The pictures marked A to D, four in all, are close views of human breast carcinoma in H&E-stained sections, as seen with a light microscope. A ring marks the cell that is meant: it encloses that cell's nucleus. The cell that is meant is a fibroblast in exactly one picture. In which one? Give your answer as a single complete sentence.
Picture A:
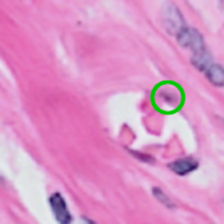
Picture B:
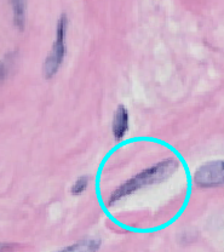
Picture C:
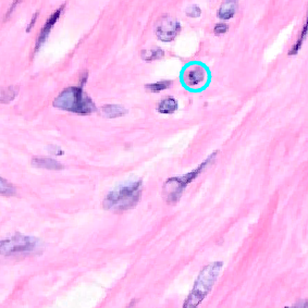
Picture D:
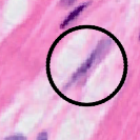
Picture D is the one that shows the fibroblast.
